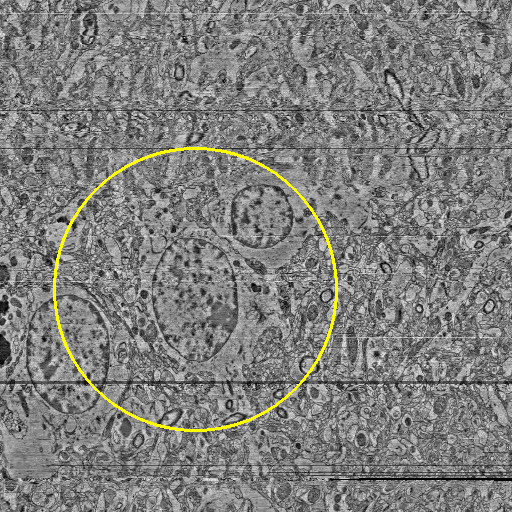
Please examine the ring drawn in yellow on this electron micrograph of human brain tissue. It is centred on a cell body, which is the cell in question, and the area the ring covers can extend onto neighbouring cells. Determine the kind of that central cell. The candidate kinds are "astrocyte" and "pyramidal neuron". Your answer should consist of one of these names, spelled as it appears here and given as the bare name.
astrocyte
